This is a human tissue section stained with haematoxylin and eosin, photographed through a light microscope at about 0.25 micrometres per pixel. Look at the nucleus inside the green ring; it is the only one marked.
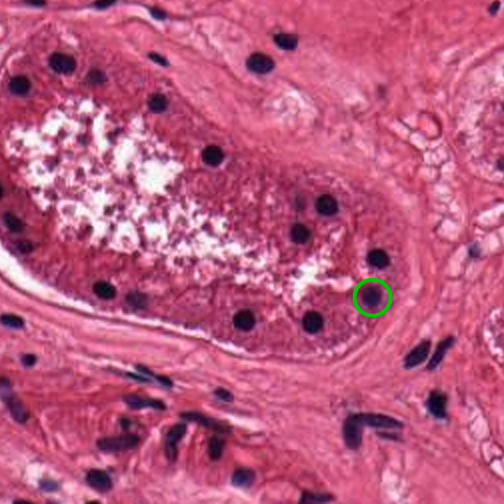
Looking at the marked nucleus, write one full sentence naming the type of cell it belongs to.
To a proximal tubule cell belongs the marked nucleus.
